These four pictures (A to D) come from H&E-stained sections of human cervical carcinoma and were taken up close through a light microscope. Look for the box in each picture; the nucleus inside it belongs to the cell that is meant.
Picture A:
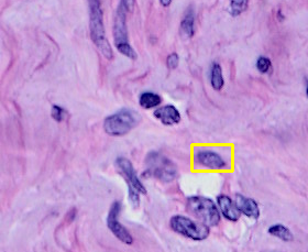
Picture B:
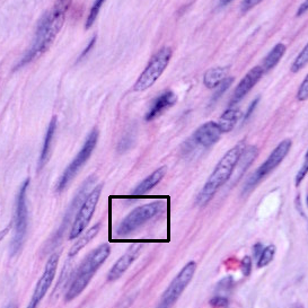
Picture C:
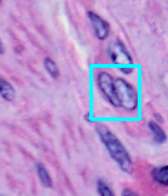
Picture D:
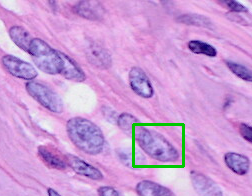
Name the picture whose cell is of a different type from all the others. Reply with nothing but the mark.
B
